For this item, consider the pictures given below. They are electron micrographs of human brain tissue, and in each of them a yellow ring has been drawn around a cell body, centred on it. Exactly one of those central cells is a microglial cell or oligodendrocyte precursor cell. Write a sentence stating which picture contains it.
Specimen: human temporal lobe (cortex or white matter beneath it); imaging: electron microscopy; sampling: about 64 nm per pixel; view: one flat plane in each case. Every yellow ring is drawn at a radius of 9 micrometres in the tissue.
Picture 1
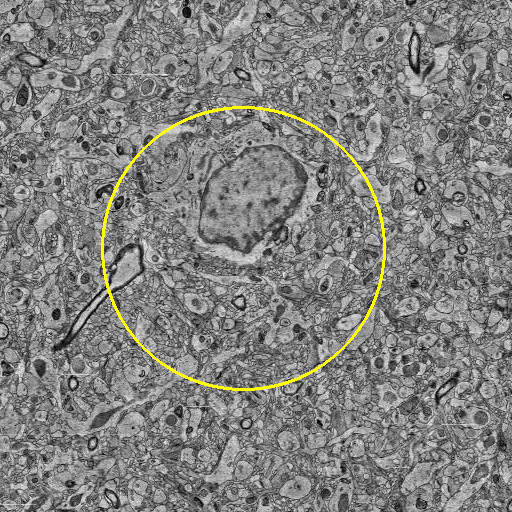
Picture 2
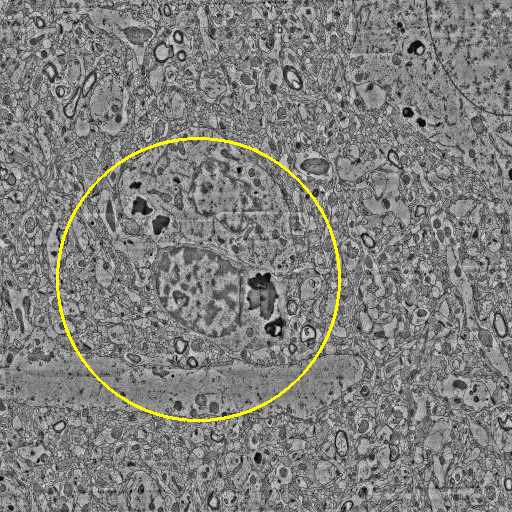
It is in Picture 1.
